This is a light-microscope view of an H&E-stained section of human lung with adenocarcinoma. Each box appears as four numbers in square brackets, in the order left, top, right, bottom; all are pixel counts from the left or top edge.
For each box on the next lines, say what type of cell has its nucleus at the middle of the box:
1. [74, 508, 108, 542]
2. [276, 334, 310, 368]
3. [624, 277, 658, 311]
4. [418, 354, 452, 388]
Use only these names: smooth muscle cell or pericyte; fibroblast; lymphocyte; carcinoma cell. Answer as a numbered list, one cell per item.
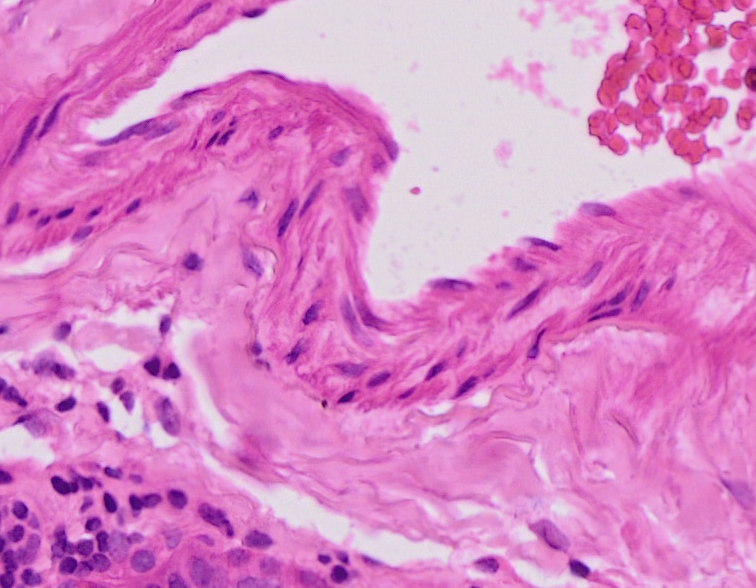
1. lymphocyte
2. smooth muscle cell or pericyte
3. smooth muscle cell or pericyte
4. smooth muscle cell or pericyte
